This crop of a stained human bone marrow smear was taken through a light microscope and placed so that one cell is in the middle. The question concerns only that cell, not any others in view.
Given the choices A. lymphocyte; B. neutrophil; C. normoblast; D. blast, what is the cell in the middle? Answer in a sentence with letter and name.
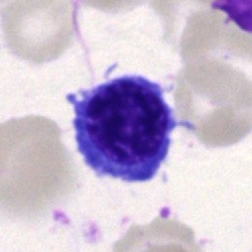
That cell in the center is a normoblast, hence option C.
